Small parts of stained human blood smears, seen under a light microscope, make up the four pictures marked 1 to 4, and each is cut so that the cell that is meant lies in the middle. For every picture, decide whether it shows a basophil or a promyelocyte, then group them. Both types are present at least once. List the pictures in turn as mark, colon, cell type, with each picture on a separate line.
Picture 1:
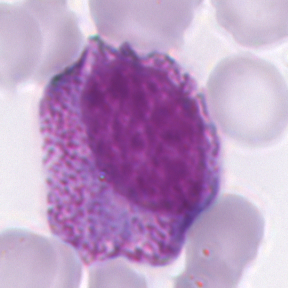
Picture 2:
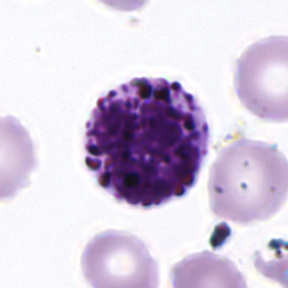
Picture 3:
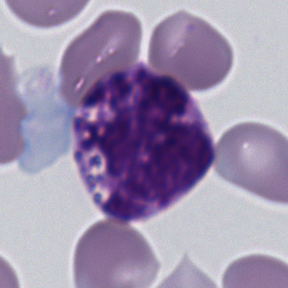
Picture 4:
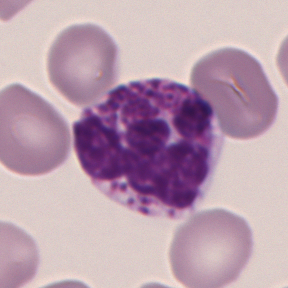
1: promyelocyte
2: basophil
3: basophil
4: basophil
